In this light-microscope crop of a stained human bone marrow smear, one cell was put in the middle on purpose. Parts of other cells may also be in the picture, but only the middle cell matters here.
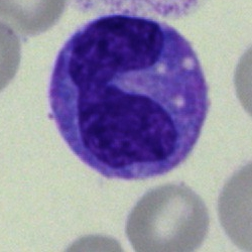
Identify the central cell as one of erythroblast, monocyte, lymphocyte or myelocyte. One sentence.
The cell around which this crop is centred is a monocyte.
